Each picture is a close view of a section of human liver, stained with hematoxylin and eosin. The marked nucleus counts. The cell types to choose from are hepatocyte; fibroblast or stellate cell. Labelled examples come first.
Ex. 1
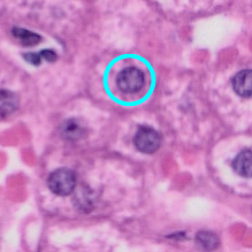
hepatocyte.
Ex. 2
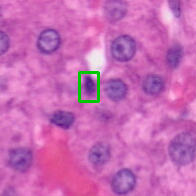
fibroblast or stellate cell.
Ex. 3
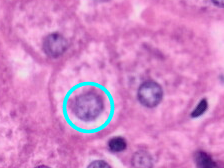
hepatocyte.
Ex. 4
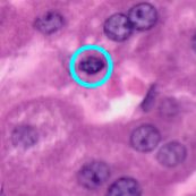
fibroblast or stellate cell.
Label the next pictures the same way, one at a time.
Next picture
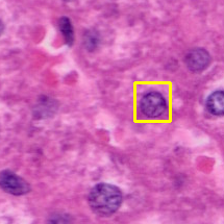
hepatocyte.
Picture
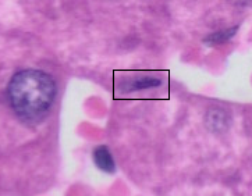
fibroblast or stellate cell.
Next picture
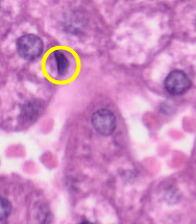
fibroblast or stellate cell.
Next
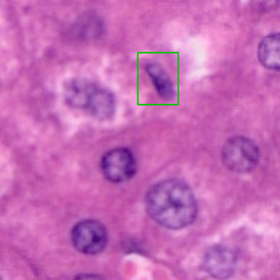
fibroblast or stellate cell.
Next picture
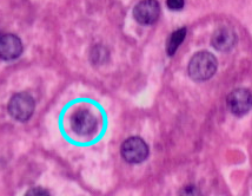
hepatocyte.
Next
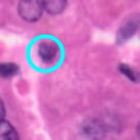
fibroblast or stellate cell.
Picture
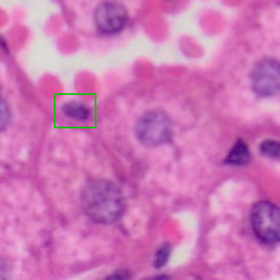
fibroblast or stellate cell.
